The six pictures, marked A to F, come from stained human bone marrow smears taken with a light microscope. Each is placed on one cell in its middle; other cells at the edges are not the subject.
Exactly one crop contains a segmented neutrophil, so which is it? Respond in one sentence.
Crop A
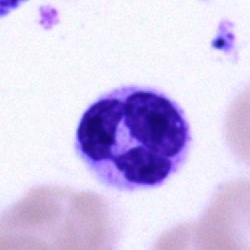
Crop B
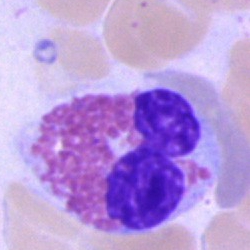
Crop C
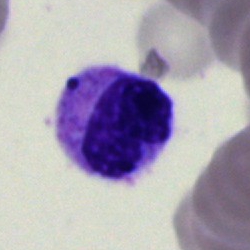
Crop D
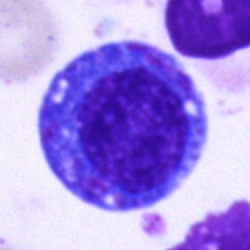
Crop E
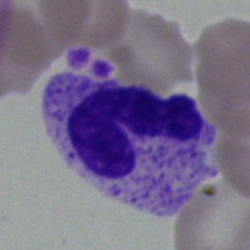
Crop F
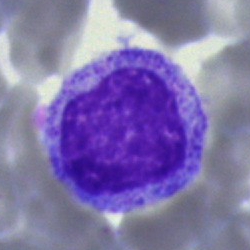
The one that shows a segmented neutrophil is crop A.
